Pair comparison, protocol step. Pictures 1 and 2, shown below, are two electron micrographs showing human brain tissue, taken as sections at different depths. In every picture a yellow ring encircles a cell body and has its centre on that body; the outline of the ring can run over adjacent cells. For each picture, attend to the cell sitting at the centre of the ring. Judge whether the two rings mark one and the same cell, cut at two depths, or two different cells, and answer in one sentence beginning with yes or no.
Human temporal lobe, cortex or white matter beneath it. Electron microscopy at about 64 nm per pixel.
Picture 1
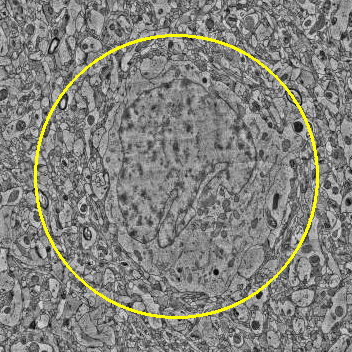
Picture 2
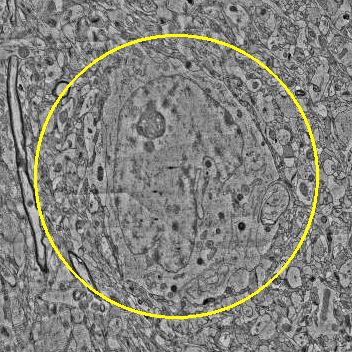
Yes, the two rings mark one cell and not separate cells.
